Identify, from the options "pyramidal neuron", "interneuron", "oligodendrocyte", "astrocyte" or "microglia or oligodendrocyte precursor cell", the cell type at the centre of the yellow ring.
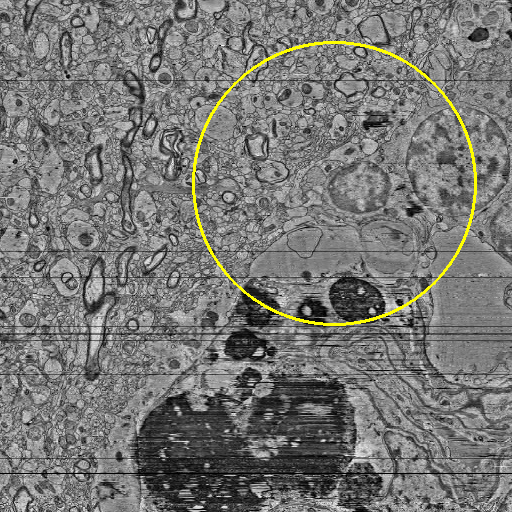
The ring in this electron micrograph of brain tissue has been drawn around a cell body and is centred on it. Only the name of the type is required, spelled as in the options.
oligodendrocyte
